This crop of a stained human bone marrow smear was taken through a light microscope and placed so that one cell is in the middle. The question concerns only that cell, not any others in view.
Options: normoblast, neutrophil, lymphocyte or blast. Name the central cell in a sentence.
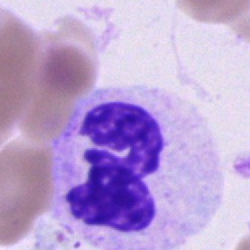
The cell at the middle of the frame should be recorded as a neutrophil.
